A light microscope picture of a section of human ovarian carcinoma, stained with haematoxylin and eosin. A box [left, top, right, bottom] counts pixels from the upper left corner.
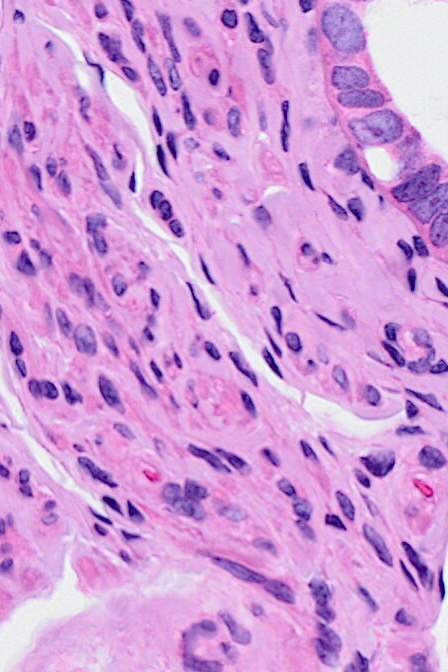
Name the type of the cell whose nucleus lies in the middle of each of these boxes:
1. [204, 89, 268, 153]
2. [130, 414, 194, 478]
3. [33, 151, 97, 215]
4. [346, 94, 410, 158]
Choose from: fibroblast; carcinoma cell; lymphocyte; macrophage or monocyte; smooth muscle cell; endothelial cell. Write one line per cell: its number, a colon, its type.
1: smooth muscle cell
2: smooth muscle cell
3: smooth muscle cell
4: carcinoma cell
